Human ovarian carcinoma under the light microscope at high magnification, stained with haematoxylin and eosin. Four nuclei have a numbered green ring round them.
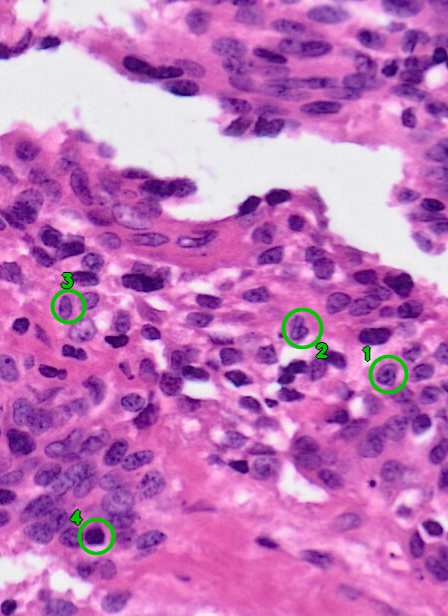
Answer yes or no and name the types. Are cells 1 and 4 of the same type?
No, cell 1 is a macrophage or monocyte and cell 4 is a carcinoma cell.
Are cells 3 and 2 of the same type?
Yes, both are macrophages or monocytes.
